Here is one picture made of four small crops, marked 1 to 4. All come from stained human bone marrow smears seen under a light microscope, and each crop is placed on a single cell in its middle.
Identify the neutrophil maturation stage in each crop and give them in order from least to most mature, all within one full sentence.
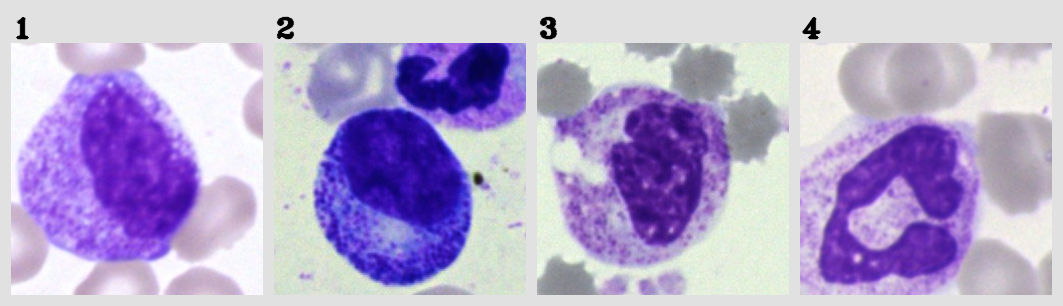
Maturation proceeds in the order crop 1 (a promyelocyte), crop 2 (a myelocyte), crop 3 (a metamyelocyte) and crop 4 (a segmented neutrophil).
